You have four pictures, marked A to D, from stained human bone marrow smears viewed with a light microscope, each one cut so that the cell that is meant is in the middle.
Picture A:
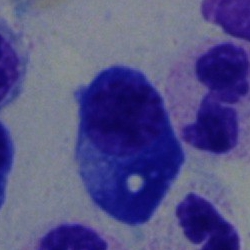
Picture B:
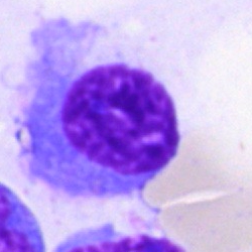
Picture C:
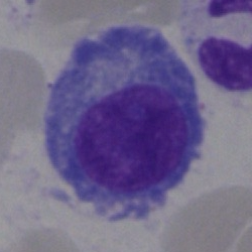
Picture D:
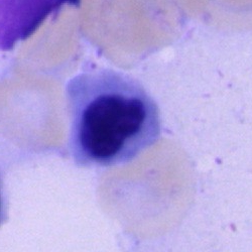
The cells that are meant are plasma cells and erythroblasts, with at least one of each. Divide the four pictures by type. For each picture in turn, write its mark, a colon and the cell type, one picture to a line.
A: plasma cell
B: plasma cell
C: plasma cell
D: erythroblast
